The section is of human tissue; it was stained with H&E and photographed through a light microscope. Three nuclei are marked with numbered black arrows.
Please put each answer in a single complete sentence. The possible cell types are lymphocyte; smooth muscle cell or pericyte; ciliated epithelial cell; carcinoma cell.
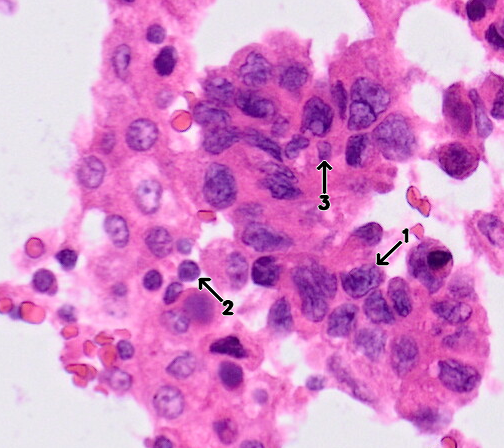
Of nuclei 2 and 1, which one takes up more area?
Nucleus 1 is the larger one, covering about 2.5 times the area of nucleus 2.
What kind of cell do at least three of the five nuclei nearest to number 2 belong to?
Lymphocytes account for more than half of the five nuclei nearest to number 2.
